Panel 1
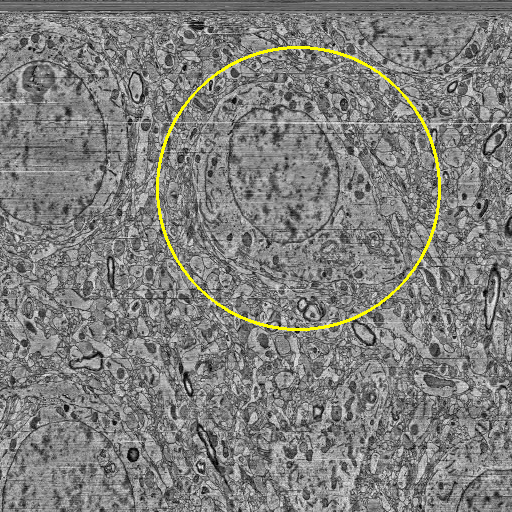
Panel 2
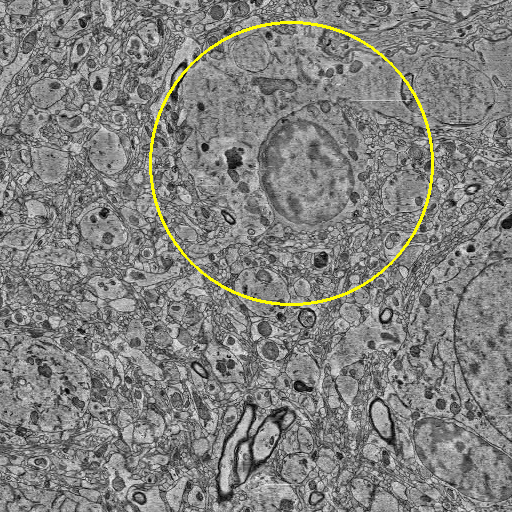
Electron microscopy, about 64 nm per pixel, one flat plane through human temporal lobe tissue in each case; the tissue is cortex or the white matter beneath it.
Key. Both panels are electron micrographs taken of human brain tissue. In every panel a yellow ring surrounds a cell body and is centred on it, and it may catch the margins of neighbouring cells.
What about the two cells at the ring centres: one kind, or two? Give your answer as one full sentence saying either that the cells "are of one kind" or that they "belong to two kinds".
Across Panels 1 and 2, the two cells at the ring centres belong to two kinds.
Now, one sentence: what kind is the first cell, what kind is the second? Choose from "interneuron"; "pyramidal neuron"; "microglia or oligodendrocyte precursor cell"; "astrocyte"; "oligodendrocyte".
The first picture has a pyramidal neuron at its ring centre, and the second has an oligodendrocyte.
